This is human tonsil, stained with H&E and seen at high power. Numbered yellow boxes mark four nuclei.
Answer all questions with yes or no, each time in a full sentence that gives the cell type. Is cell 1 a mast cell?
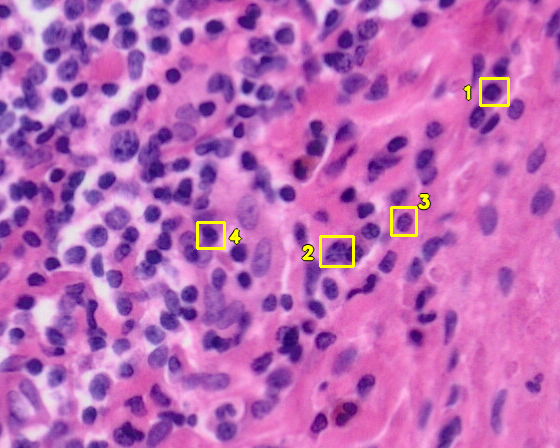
No, calling cell 1 a mast cell is a mistake; it is a plasma cell.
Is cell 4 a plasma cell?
No, it is an endothelial cell, rather than a plasma cell, that carries number 4.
